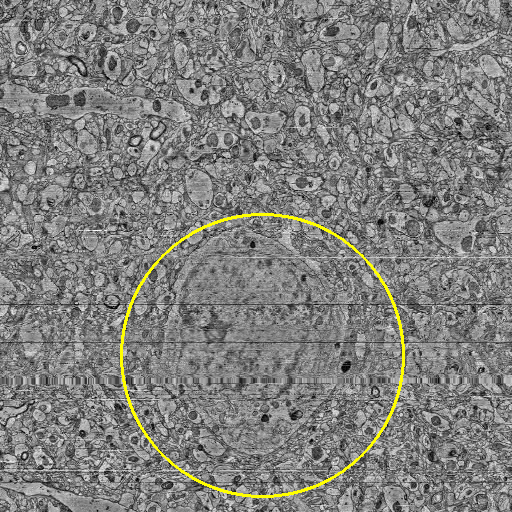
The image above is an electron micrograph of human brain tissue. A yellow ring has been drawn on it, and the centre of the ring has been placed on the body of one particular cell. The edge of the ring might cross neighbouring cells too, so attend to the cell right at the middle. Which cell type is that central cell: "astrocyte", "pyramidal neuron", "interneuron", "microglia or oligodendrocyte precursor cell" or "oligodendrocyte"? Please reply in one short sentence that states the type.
The central cell in the ring is an interneuron.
